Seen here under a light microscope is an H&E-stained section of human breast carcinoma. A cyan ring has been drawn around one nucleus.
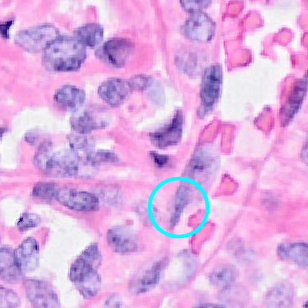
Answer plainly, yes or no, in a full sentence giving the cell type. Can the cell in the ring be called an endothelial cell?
Yes, put very simply, the cell in the ring is an endothelial cell.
